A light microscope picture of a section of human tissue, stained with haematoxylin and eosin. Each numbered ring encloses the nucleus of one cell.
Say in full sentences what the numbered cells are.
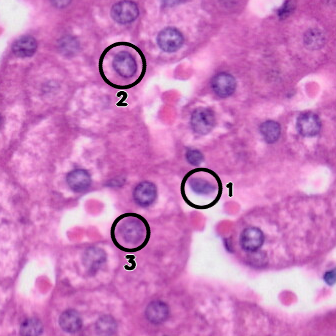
Cell 1 is a Kupffer cell. Cells 2 and 3 are hepatocytes.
